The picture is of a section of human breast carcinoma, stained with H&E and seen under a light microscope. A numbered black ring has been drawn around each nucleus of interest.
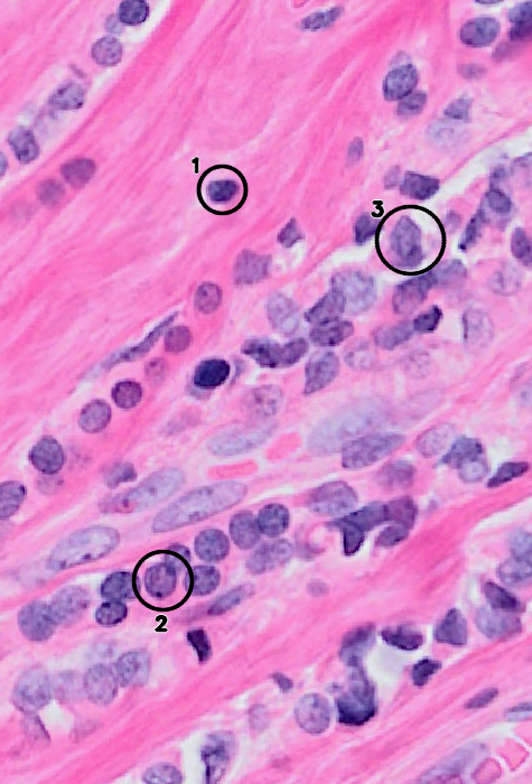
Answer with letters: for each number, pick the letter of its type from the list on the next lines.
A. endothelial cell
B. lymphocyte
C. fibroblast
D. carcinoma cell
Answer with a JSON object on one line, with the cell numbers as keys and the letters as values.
{"1": "B", "2": "D", "3": "D"}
